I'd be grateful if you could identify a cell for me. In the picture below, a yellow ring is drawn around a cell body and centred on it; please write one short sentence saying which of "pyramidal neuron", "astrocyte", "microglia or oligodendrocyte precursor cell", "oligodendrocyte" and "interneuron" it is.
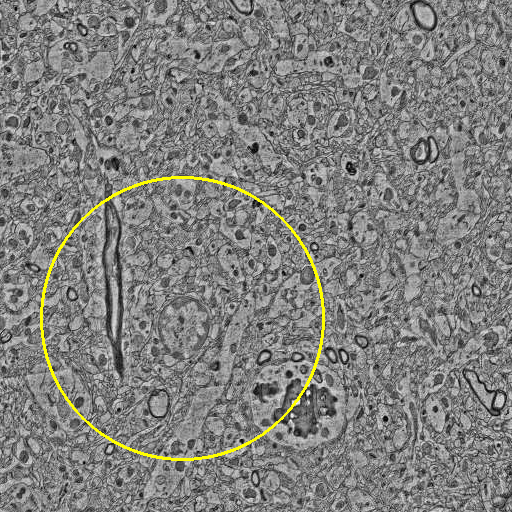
The cell under the ring's centre is a microglial cell or oligodendrocyte precursor cell.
